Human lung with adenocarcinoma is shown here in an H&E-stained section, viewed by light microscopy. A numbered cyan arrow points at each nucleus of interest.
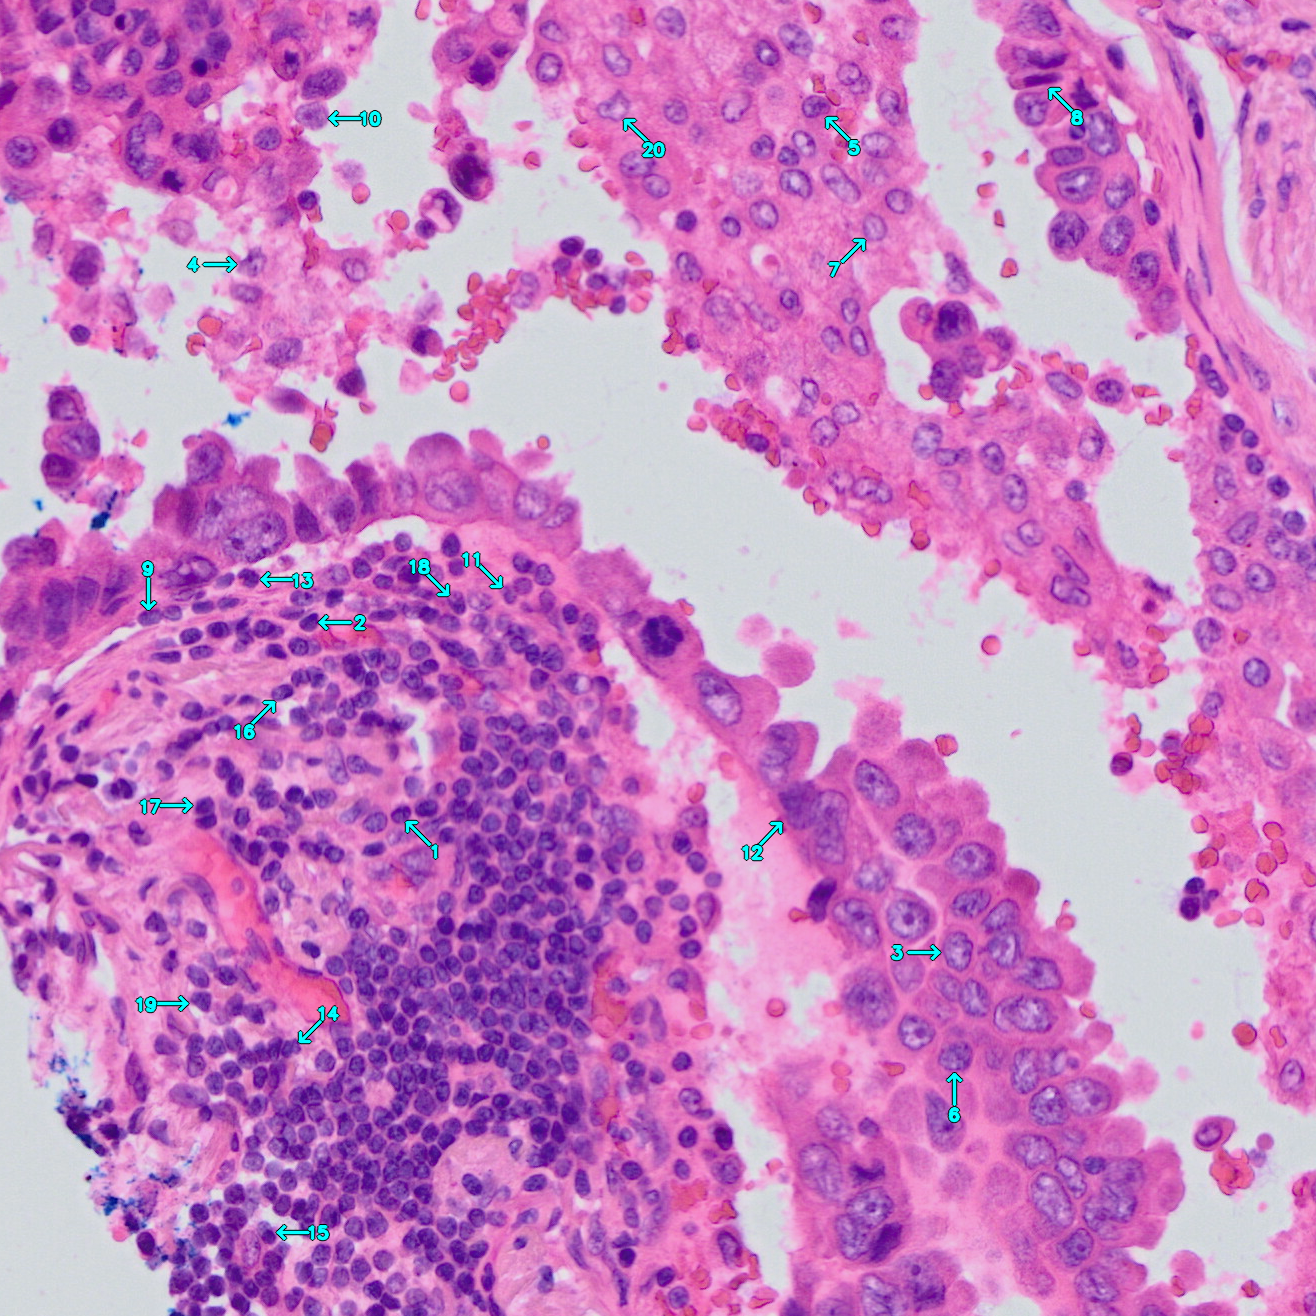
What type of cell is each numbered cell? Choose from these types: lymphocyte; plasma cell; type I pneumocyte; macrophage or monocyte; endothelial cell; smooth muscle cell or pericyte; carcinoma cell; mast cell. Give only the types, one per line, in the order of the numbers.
lymphocyte
lymphocyte
carcinoma cell
macrophage or monocyte
macrophage or monocyte
carcinoma cell
macrophage or monocyte
carcinoma cell
lymphocyte
carcinoma cell
lymphocyte
carcinoma cell
lymphocyte
lymphocyte
lymphocyte
lymphocyte
lymphocyte
lymphocyte
lymphocyte
macrophage or monocyte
